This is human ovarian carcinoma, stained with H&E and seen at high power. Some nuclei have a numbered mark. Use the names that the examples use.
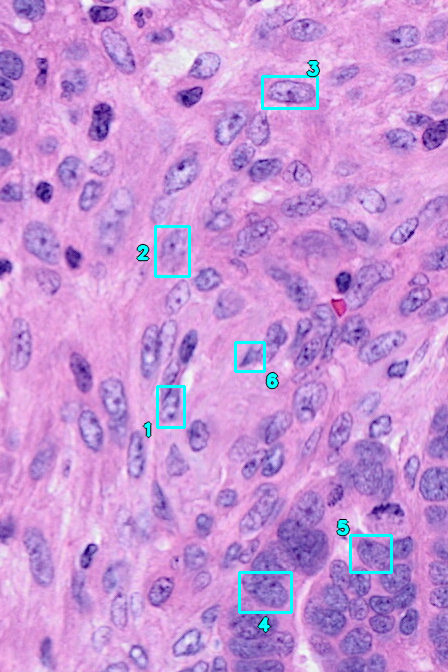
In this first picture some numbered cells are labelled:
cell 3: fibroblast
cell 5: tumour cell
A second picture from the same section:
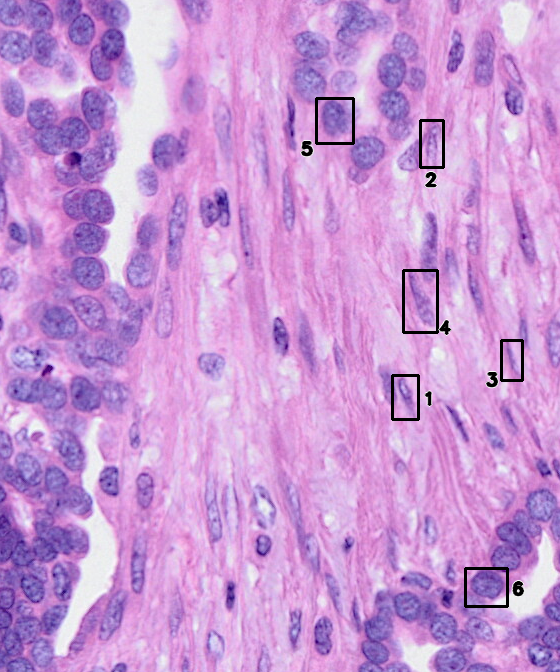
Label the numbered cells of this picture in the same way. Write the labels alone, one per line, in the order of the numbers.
fibroblast
fibroblast
fibroblast
fibroblast
tumour cell
tumour cell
